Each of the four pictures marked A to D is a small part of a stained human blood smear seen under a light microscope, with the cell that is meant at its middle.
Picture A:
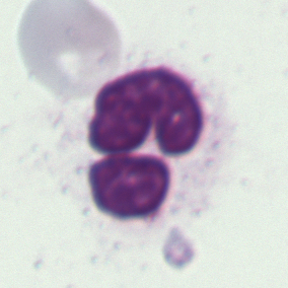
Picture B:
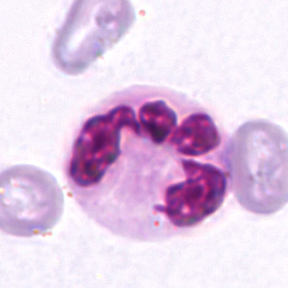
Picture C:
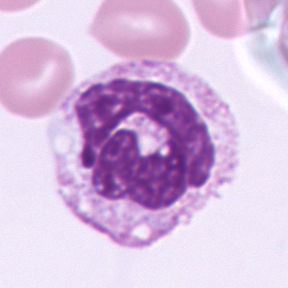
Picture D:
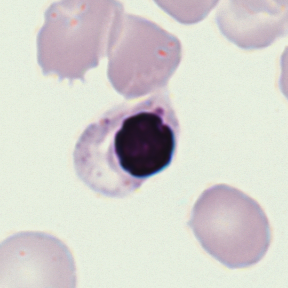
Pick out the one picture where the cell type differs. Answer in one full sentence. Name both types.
Picture D differs, because its cell is a normoblast and the rest are segmented neutrophils.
